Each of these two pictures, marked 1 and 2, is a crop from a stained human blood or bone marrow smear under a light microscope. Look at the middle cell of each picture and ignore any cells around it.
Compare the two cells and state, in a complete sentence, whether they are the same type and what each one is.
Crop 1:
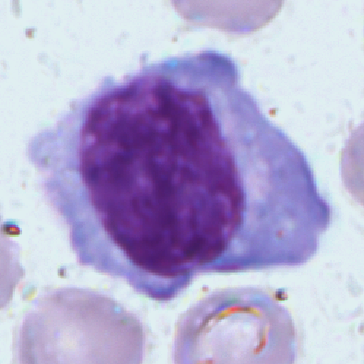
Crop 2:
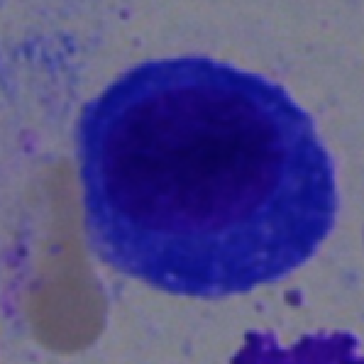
Yes, put down plasma cells for both crops.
